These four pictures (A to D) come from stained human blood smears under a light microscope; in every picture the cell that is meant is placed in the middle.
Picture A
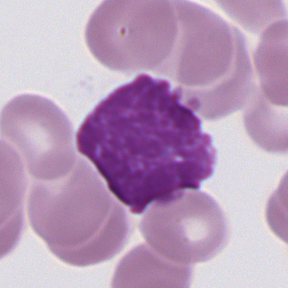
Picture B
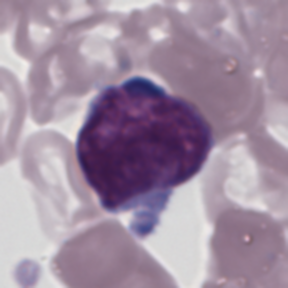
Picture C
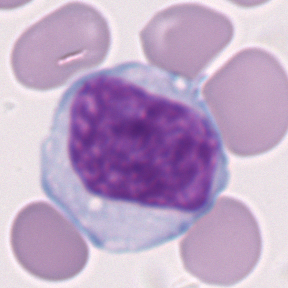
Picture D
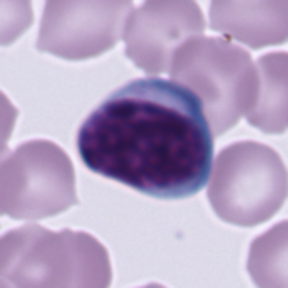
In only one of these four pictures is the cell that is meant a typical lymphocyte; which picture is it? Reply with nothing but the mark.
D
